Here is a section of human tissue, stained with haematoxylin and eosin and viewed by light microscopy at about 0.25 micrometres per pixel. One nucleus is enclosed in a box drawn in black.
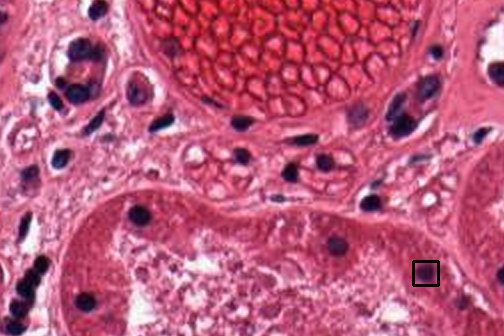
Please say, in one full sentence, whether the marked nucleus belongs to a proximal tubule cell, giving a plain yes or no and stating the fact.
Yes, the cell to which the marked nucleus belongs is a proximal tubule cell.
